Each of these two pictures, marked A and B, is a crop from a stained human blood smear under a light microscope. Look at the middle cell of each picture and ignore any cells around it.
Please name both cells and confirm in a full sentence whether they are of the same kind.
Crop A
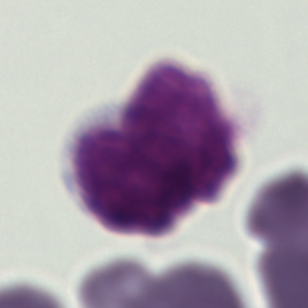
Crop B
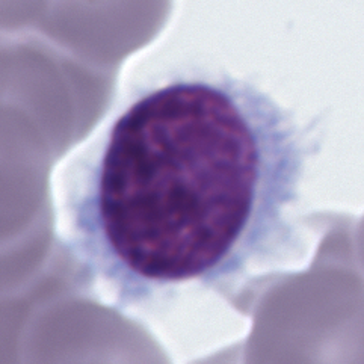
No, crop B holds a hairy cell, while crop A holds a smudge cell.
